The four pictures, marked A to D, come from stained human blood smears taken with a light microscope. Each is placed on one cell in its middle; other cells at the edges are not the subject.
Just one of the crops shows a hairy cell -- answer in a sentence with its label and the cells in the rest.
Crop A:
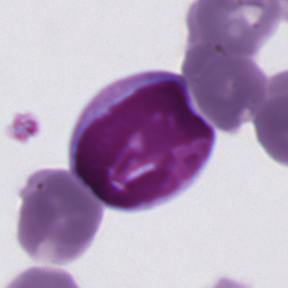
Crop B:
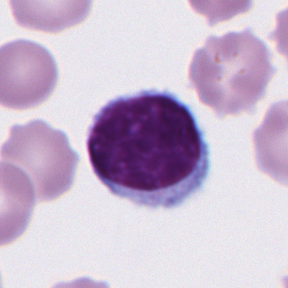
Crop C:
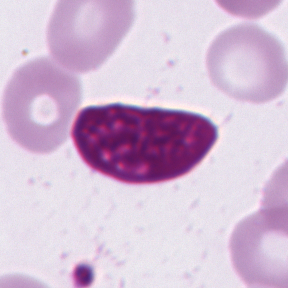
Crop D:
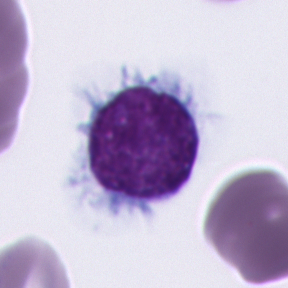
For crop D the cell is a hairy cell, while crop A is a myeloblast, crop B is a typical lymphocyte and crop C is a smudge cell.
